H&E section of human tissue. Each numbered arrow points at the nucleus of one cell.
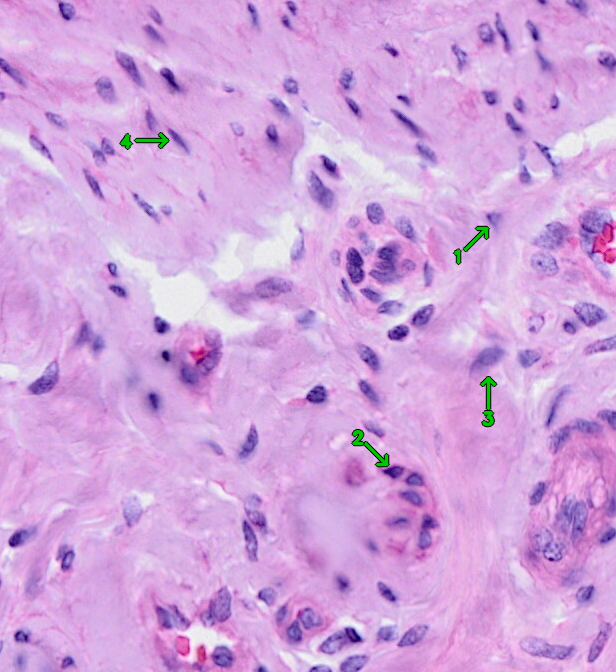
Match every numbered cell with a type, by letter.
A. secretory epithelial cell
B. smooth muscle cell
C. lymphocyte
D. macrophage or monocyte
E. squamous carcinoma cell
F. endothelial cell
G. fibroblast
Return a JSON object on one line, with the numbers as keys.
{"1": "G", "2": "B", "3": "G", "4": "G"}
